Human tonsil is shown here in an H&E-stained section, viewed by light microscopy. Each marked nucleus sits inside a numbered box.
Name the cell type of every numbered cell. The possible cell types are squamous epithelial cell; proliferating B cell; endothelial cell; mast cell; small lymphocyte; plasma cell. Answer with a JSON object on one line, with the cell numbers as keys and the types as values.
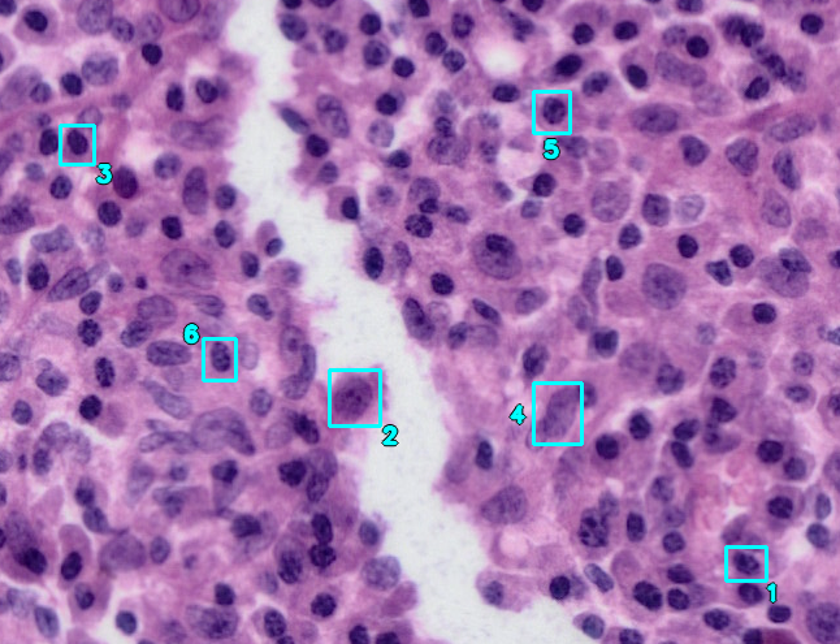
{"1": "plasma cell", "2": "squamous epithelial cell", "3": "plasma cell", "4": "squamous epithelial cell", "5": "plasma cell", "6": "plasma cell"}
